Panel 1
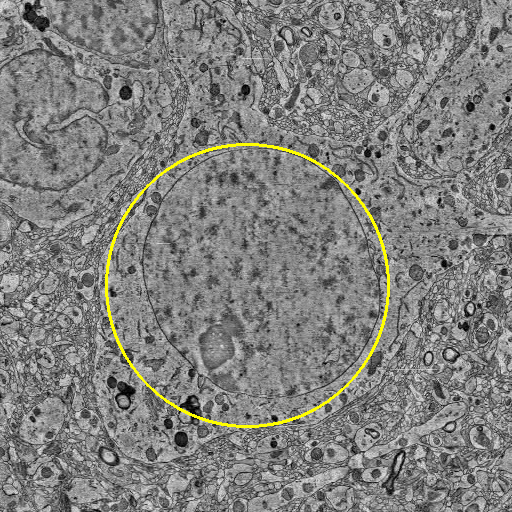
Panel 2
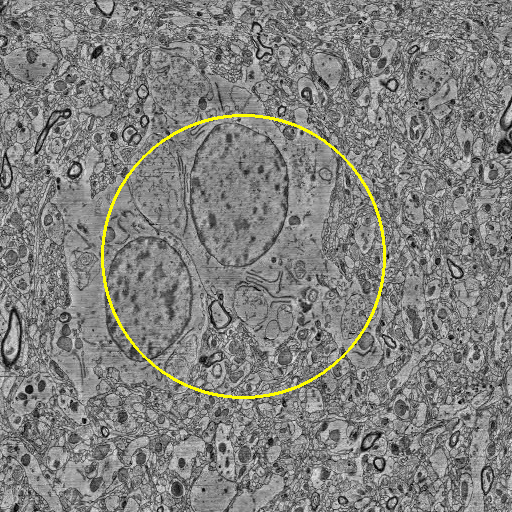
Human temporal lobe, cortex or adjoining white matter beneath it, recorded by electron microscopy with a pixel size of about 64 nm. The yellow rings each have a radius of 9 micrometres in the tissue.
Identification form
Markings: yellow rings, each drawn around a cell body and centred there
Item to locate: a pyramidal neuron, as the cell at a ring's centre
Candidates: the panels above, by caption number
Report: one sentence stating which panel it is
It is Panel 1.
